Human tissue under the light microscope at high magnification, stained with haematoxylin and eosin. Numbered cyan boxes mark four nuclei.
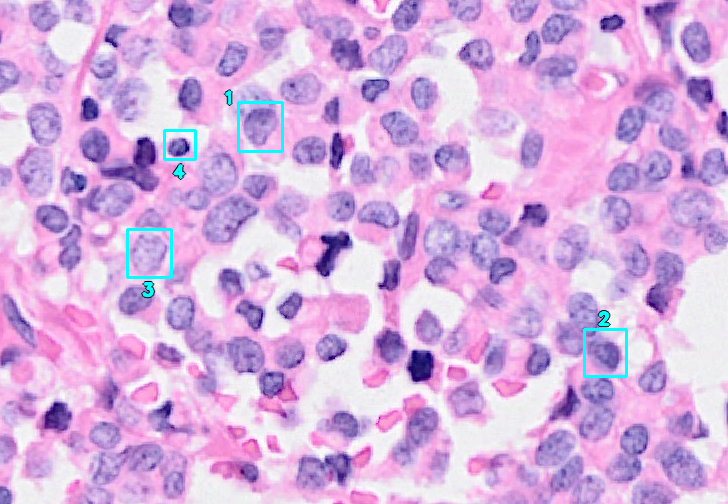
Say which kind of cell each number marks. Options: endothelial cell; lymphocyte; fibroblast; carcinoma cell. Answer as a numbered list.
1. carcinoma cell
2. carcinoma cell
3. carcinoma cell
4. lymphocyte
